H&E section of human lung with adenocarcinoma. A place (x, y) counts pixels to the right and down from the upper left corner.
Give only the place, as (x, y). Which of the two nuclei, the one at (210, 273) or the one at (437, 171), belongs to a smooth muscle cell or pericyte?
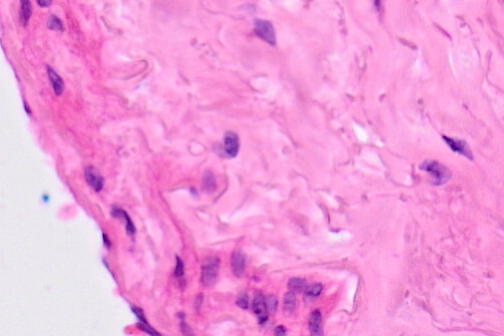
(210, 273)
